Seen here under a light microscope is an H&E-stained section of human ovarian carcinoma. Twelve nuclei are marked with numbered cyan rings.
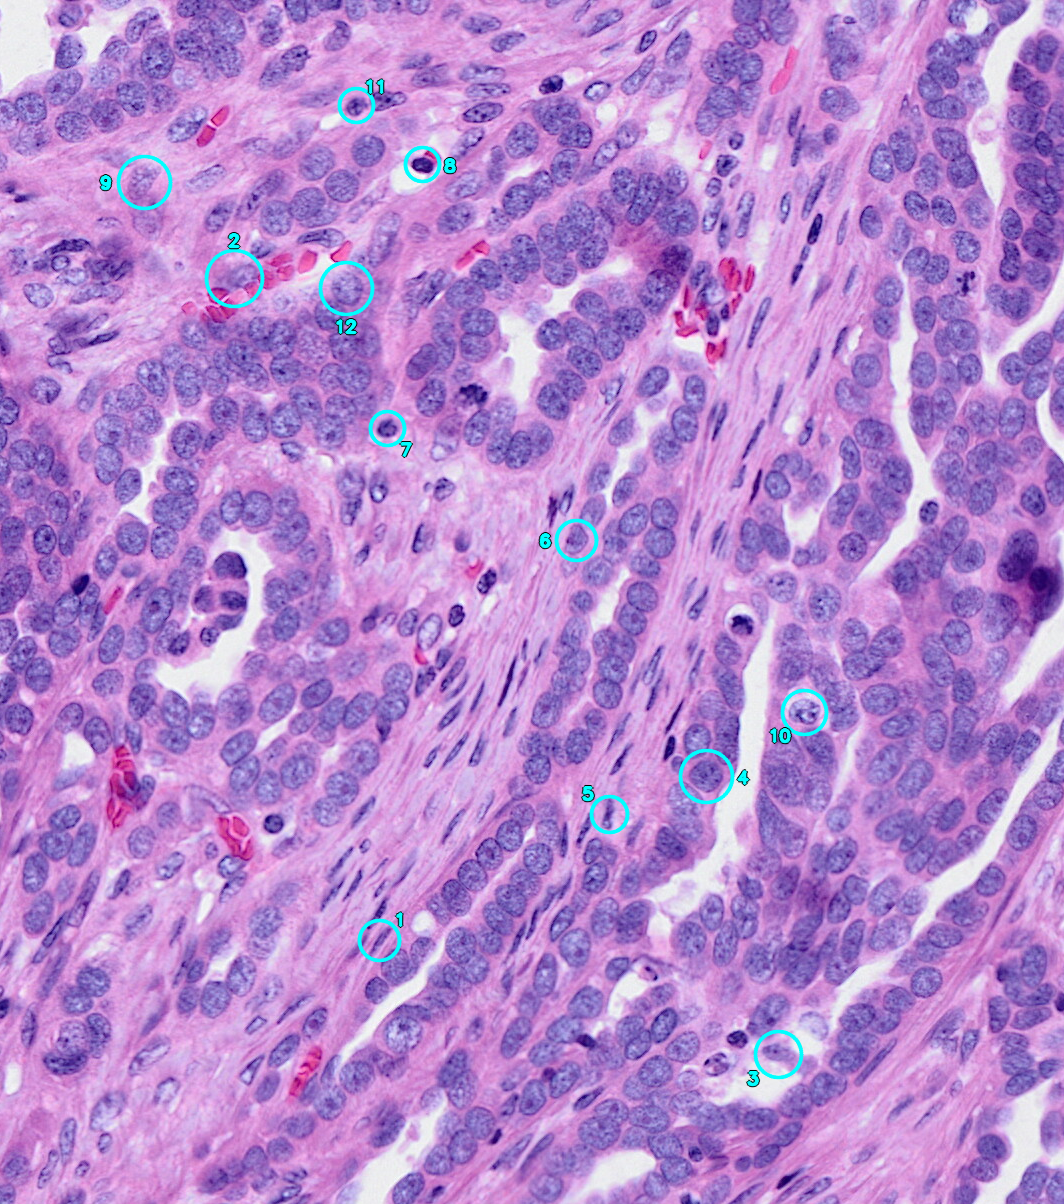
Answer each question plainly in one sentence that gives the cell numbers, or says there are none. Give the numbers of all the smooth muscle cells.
Identified by number, the marked cells include no smooth muscle cells.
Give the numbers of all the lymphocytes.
The numbers 7, 8 and 11 in this section indicate lymphocytes.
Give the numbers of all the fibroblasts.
The identity of cells 1, 5 and 9: they are fibroblasts.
